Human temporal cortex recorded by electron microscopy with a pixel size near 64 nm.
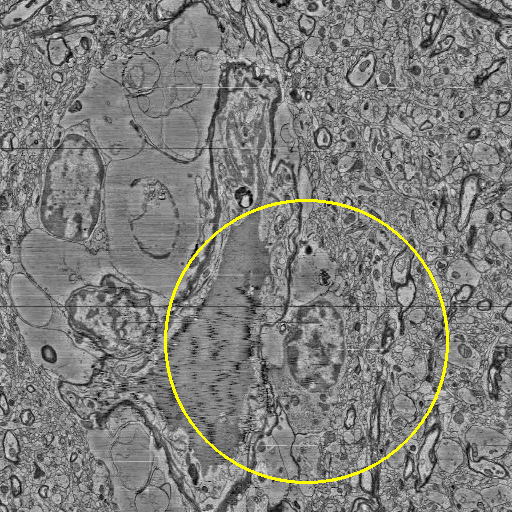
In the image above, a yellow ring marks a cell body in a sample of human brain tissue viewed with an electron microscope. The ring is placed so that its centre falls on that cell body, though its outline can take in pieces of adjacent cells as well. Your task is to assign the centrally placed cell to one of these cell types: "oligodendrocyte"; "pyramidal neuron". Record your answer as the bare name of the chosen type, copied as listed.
oligodendrocyte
